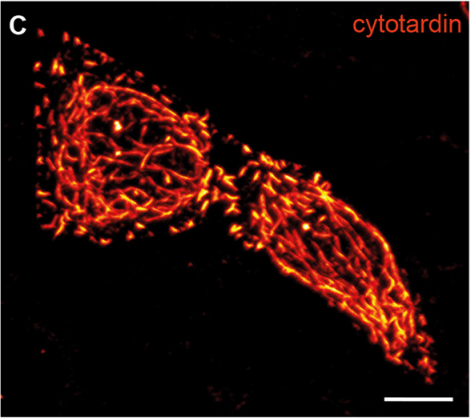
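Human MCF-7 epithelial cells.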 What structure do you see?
cytoplasmic filamentous network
